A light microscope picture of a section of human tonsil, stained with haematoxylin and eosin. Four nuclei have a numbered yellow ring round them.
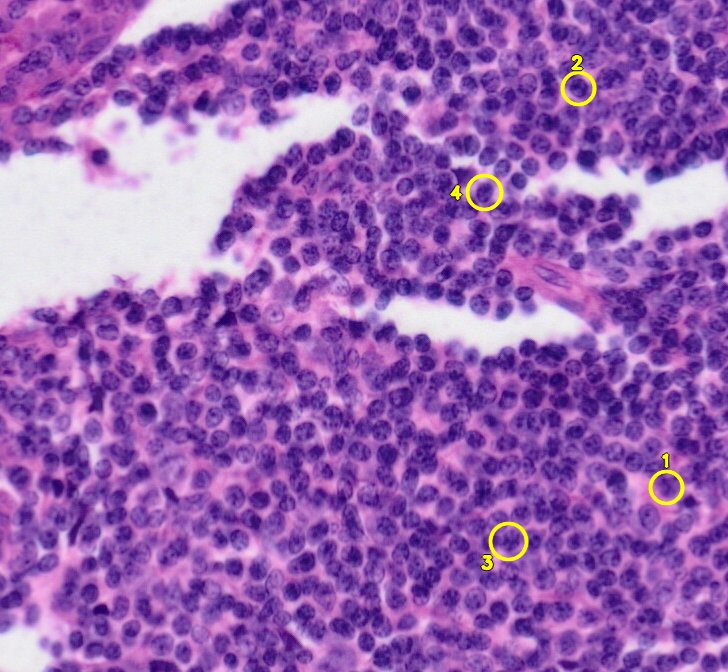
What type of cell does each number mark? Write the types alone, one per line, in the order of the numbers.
proliferating B cell
small lymphocyte
small lymphocyte
small lymphocyte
